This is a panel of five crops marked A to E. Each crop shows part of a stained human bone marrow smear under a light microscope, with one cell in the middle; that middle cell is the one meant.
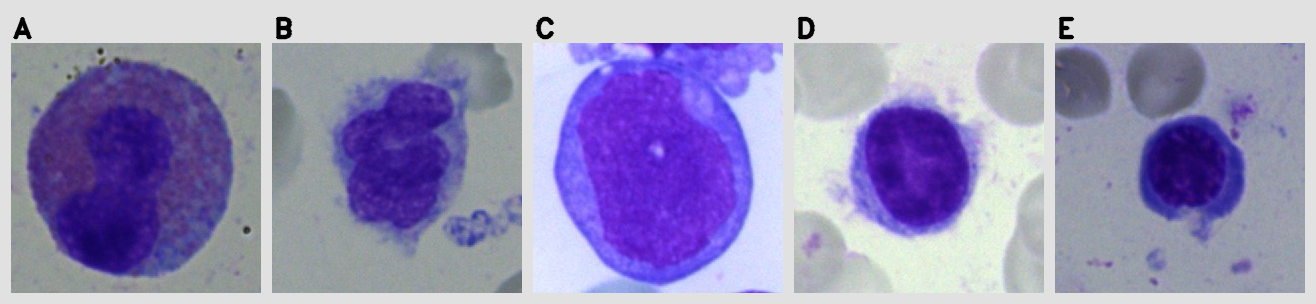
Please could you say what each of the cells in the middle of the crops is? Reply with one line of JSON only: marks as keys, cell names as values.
{"A": "eosinophil", "B": "monocyte", "C": "blast", "D": "hairy cell", "E": "erythroblast"}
